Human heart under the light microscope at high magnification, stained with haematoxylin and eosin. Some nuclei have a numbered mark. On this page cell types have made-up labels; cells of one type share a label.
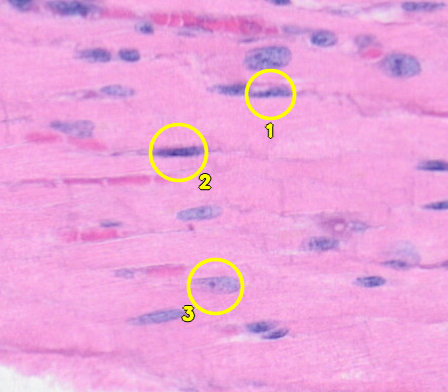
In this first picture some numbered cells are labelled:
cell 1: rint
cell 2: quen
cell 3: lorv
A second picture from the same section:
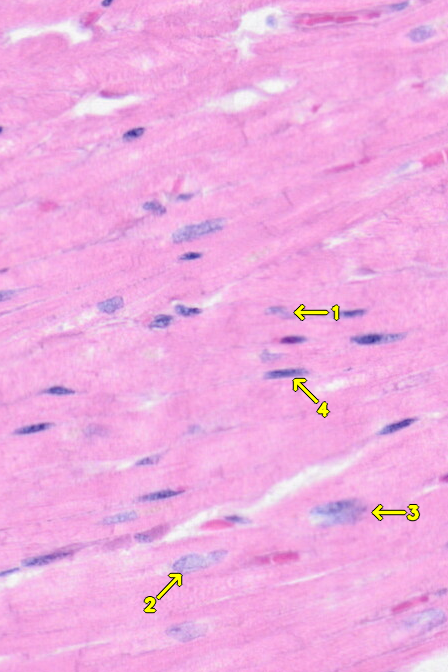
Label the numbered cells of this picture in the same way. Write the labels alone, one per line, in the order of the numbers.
lorv
lorv
lorv
quen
